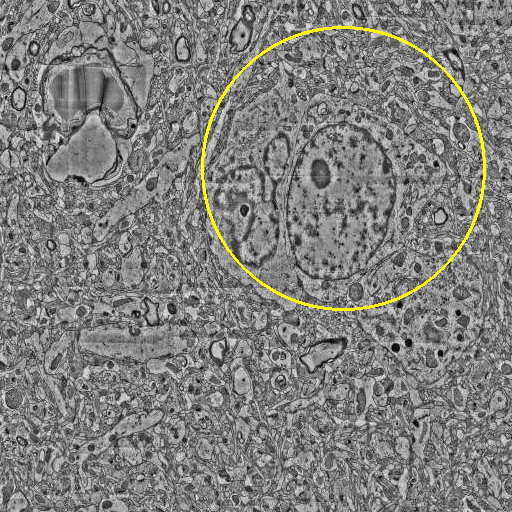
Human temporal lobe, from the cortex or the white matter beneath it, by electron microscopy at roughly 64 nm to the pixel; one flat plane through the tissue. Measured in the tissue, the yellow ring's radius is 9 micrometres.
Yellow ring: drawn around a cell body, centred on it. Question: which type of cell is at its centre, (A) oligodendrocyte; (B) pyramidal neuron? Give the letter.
B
